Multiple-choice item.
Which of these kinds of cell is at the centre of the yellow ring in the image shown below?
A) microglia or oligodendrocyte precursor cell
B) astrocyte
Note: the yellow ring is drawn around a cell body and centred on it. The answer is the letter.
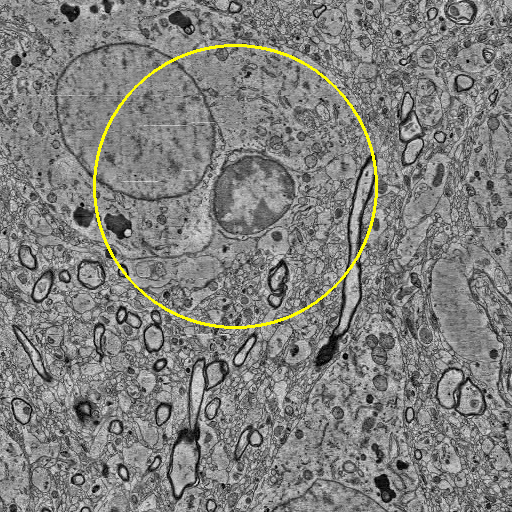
A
